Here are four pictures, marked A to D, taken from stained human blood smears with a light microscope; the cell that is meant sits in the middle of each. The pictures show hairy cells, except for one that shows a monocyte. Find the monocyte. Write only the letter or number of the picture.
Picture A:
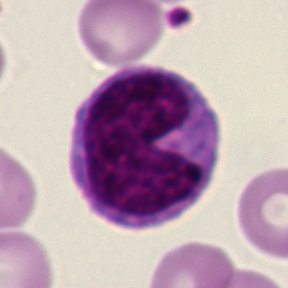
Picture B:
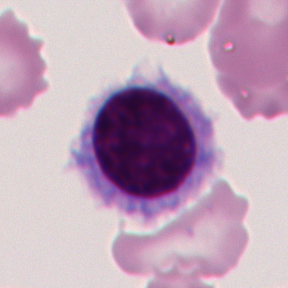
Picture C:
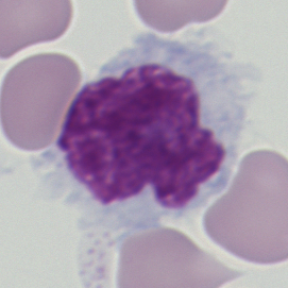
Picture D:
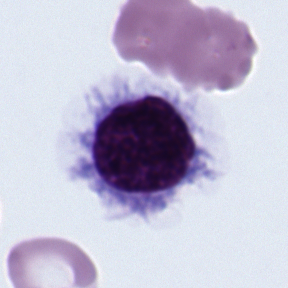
A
